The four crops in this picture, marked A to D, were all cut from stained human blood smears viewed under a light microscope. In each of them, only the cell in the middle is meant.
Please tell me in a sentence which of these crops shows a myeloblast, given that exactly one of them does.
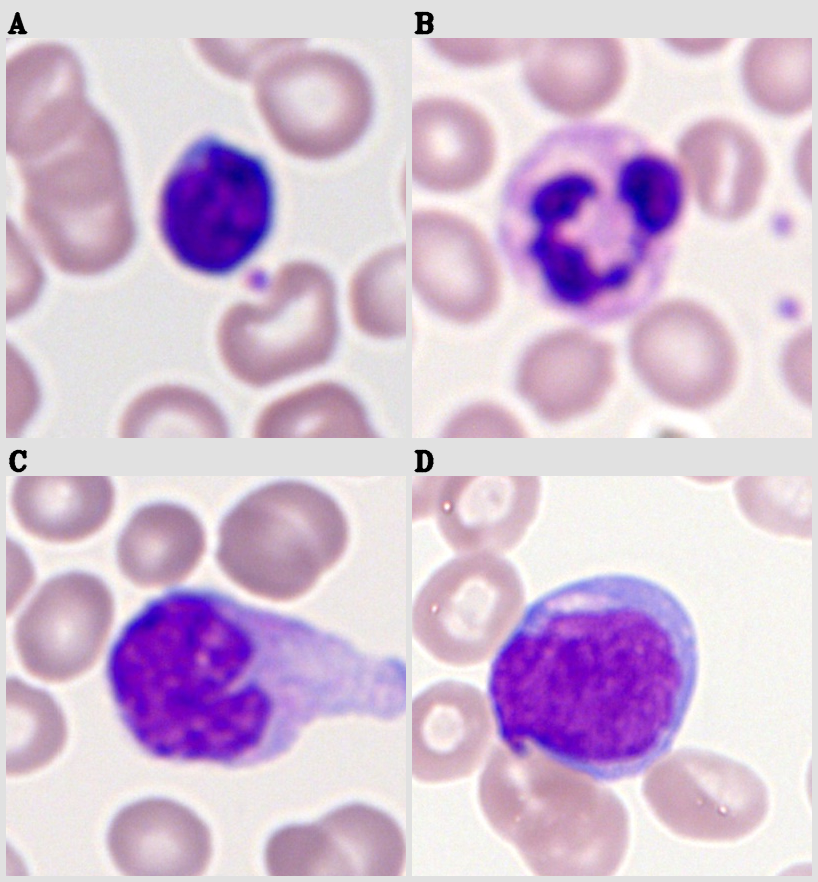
The crop marked D is the one in which a myeloblast is shown.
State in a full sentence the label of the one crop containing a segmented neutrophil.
So the crop with a segmented neutrophil at its center is crop B.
